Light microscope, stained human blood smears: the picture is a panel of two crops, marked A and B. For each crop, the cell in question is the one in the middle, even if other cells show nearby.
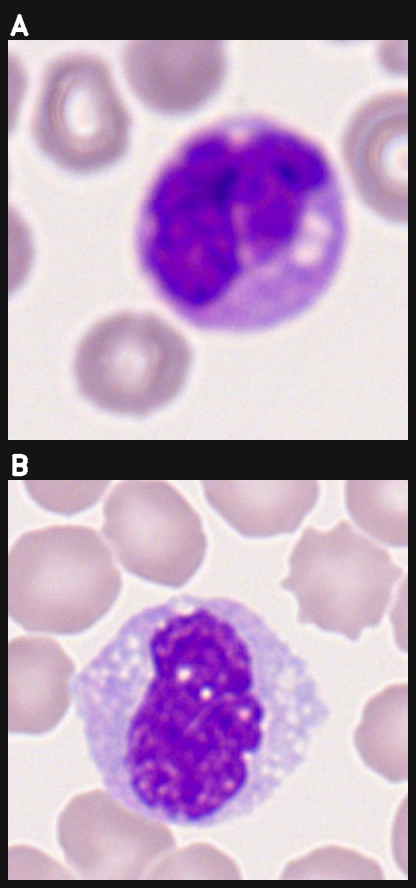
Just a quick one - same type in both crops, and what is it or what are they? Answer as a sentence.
Yes, monocytes are what the two crops show.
